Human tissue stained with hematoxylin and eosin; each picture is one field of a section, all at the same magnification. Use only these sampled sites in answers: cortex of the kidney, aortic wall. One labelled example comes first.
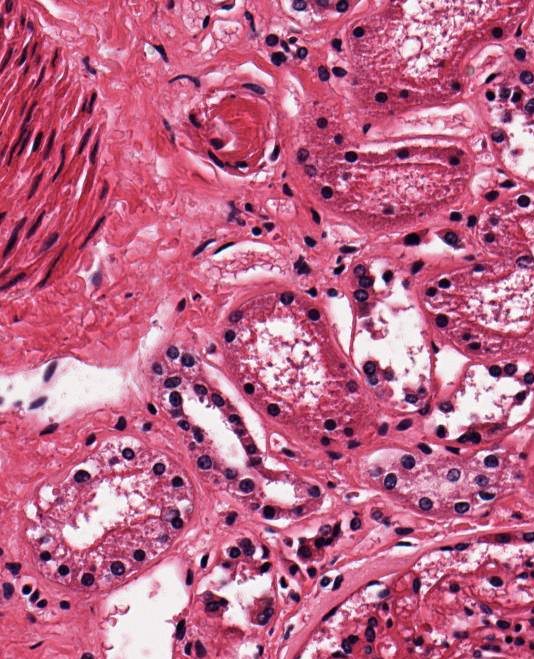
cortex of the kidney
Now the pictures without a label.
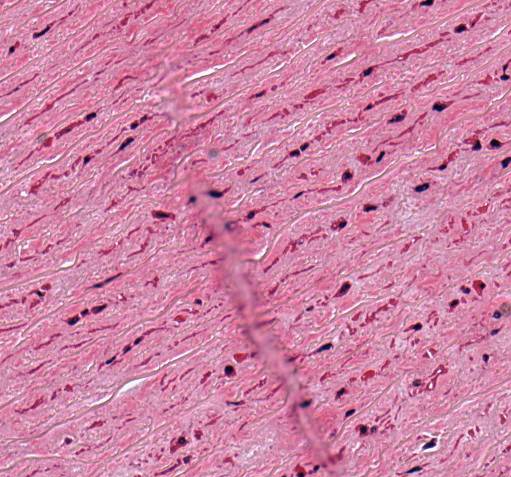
aortic wall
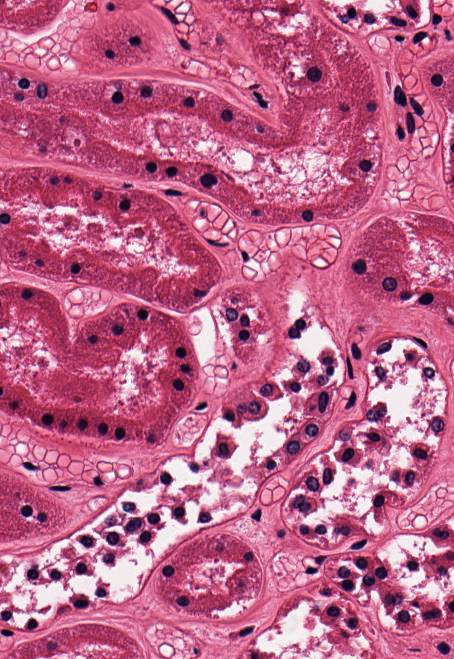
cortex of the kidney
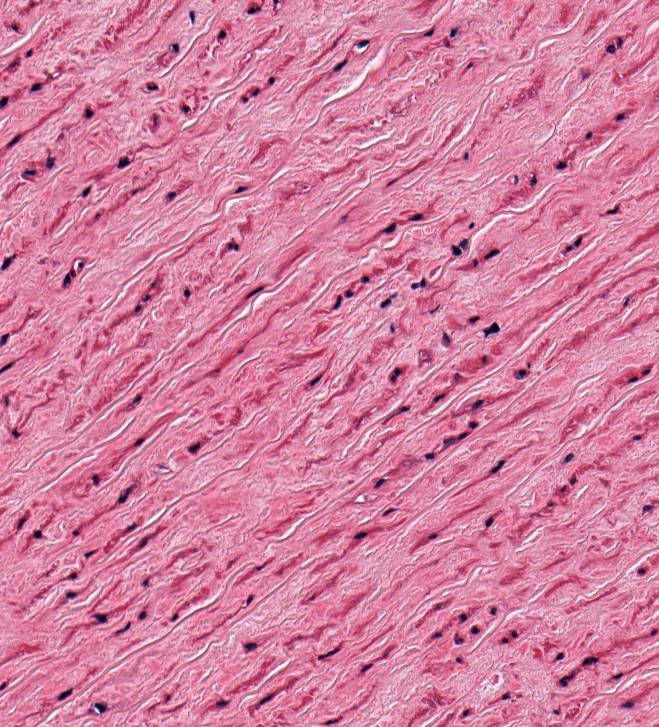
aortic wall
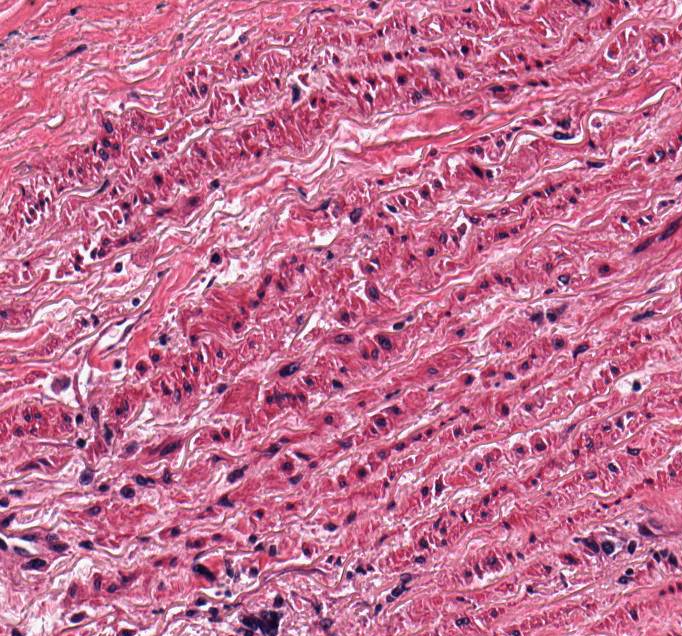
aortic wall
